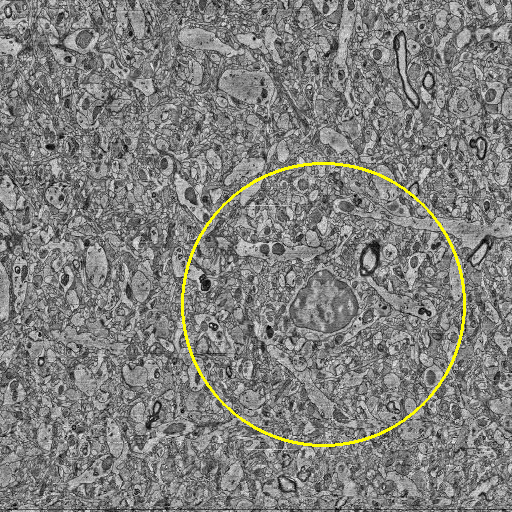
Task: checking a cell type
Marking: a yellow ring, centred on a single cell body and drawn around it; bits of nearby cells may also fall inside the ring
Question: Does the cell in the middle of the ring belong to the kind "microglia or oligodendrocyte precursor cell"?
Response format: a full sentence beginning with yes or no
Yes, the cell marked at the ring's centre in the picture is of that kind.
